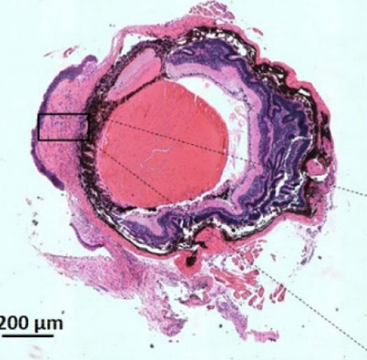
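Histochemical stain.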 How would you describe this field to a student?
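This is a cross-section through a whole eye, with the large round lens stained bright pink in the centre. The retina forms deep purple layered bands that are folded and wavy along the inner wall of the globe. A black pigmented layer follows the outer edge of the retina. On the left, the front wall of the eye is thick and densely stained pink and purple, much thicker than a normal thin cornea. Loose pink tissue and muscle lie outside the globe below.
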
